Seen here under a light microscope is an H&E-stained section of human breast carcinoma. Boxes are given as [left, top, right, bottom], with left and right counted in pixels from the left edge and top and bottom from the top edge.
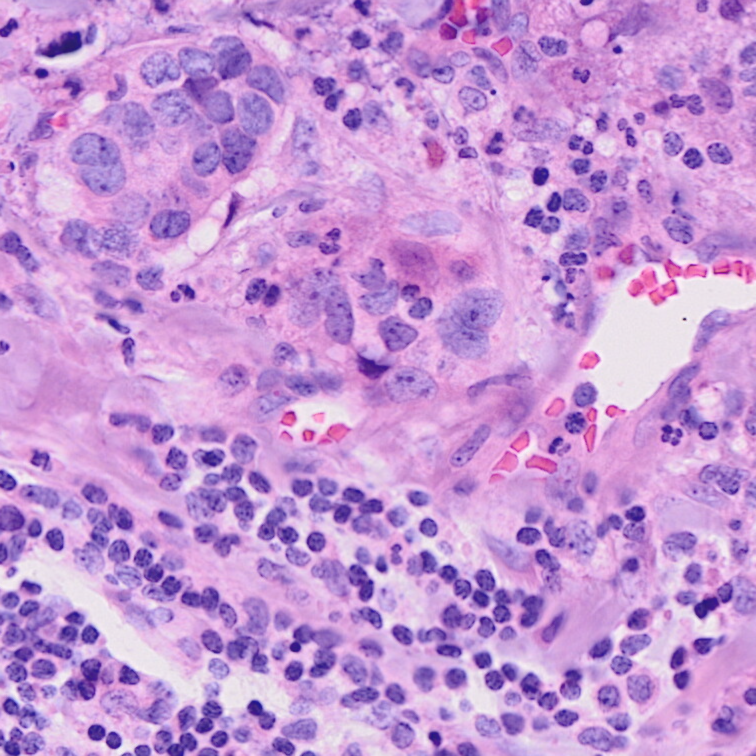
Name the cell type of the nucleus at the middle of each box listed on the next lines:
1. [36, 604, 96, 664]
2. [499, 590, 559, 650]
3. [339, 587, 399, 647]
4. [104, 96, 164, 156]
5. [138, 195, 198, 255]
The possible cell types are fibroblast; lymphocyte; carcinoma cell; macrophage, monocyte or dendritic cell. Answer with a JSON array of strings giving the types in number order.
["lymphocyte", "lymphocyte", "lymphocyte", "carcinoma cell", "carcinoma cell"]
